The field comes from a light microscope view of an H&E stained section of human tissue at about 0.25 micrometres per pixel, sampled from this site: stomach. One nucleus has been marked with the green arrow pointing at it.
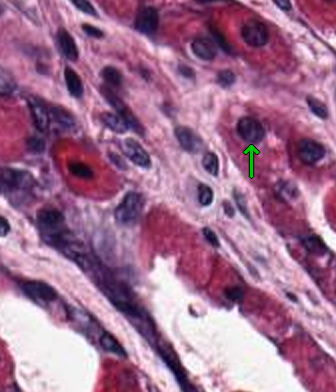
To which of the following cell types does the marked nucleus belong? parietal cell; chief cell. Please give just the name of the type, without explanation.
parietal cell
